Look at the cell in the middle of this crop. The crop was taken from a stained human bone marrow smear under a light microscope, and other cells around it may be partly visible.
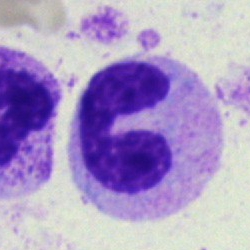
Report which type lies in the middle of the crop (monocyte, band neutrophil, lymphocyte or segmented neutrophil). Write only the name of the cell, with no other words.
band neutrophil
